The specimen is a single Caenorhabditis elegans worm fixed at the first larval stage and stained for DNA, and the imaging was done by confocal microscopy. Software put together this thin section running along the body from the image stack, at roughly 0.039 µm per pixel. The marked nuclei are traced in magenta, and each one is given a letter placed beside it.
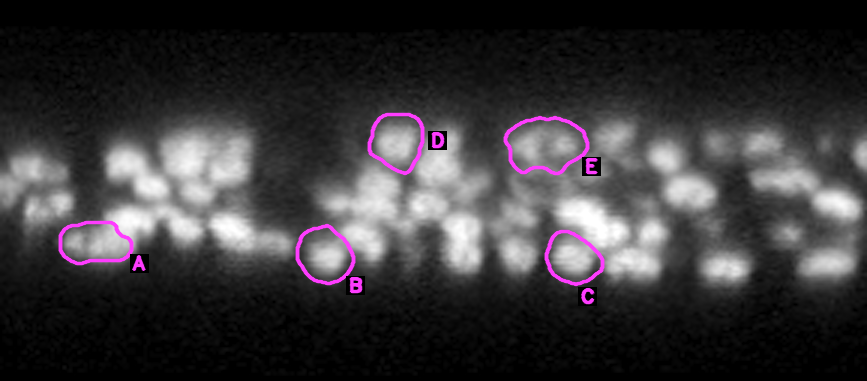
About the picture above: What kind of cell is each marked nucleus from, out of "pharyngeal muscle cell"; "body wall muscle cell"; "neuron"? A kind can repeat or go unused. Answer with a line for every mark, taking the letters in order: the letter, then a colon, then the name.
A: body wall muscle cell
B: neuron
C: neuron
D: neuron
E: body wall muscle cell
